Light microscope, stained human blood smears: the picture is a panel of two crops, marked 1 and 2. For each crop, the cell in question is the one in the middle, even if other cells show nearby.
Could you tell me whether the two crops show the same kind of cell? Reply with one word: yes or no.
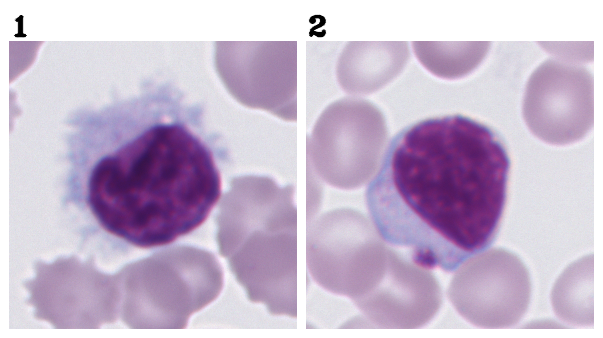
no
